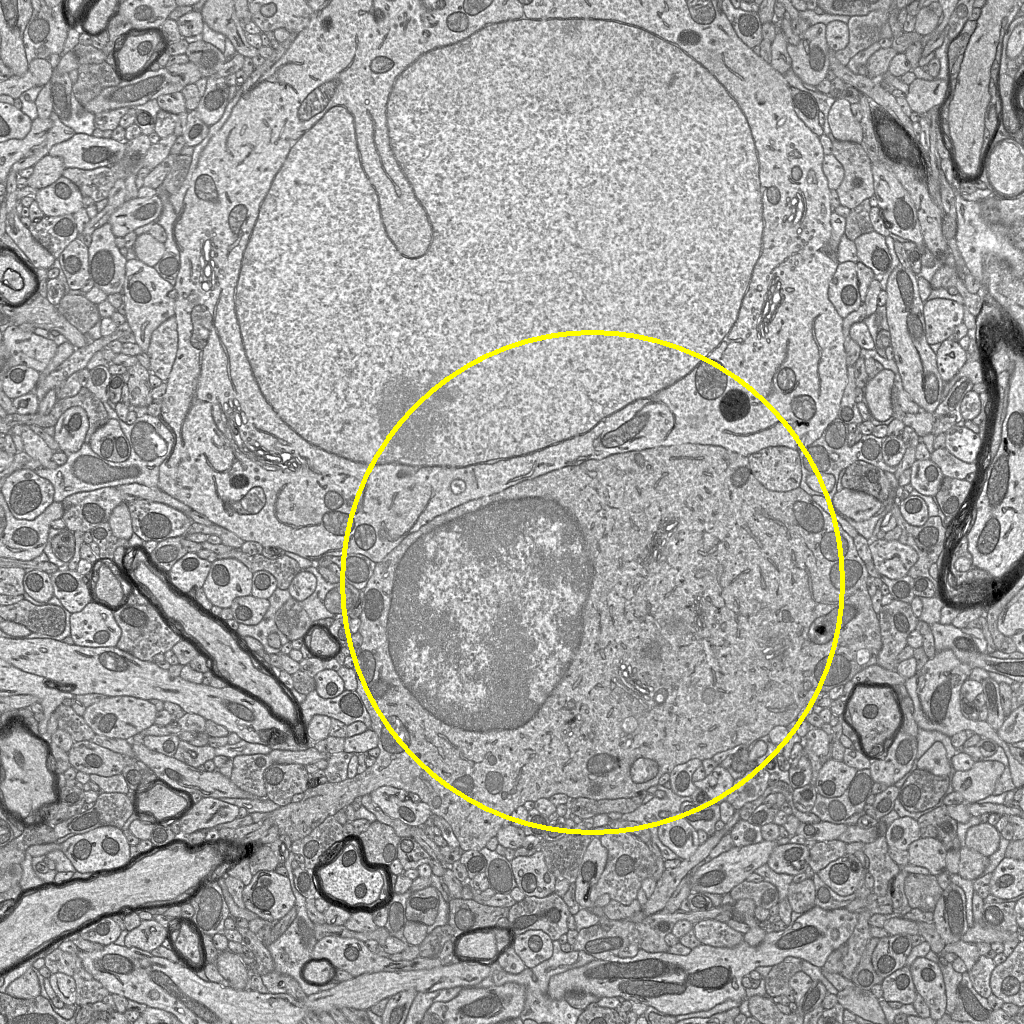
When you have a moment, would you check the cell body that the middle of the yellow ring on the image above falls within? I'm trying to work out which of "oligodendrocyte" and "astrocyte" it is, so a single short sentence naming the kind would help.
This cell body belongs to an oligodendrocyte.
